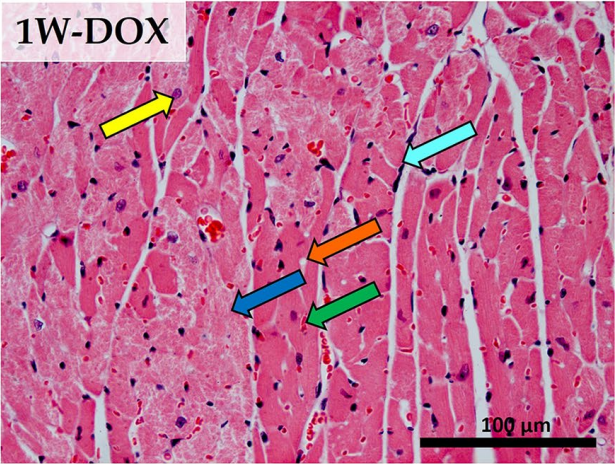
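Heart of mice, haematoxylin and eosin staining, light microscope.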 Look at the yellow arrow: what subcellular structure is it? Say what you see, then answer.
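Large and uncondensed nuclei. The arrow points to a large, rounded, pale-staining nucleus. It is larger and less dense than the dark elongated nuclei nearby.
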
